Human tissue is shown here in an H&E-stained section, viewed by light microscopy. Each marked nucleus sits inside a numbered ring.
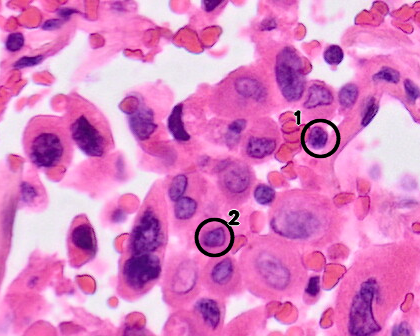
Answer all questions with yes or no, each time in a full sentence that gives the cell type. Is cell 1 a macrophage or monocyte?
No, cell 1 has been misnamed; it is a lymphocyte, not a macrophage or monocyte.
